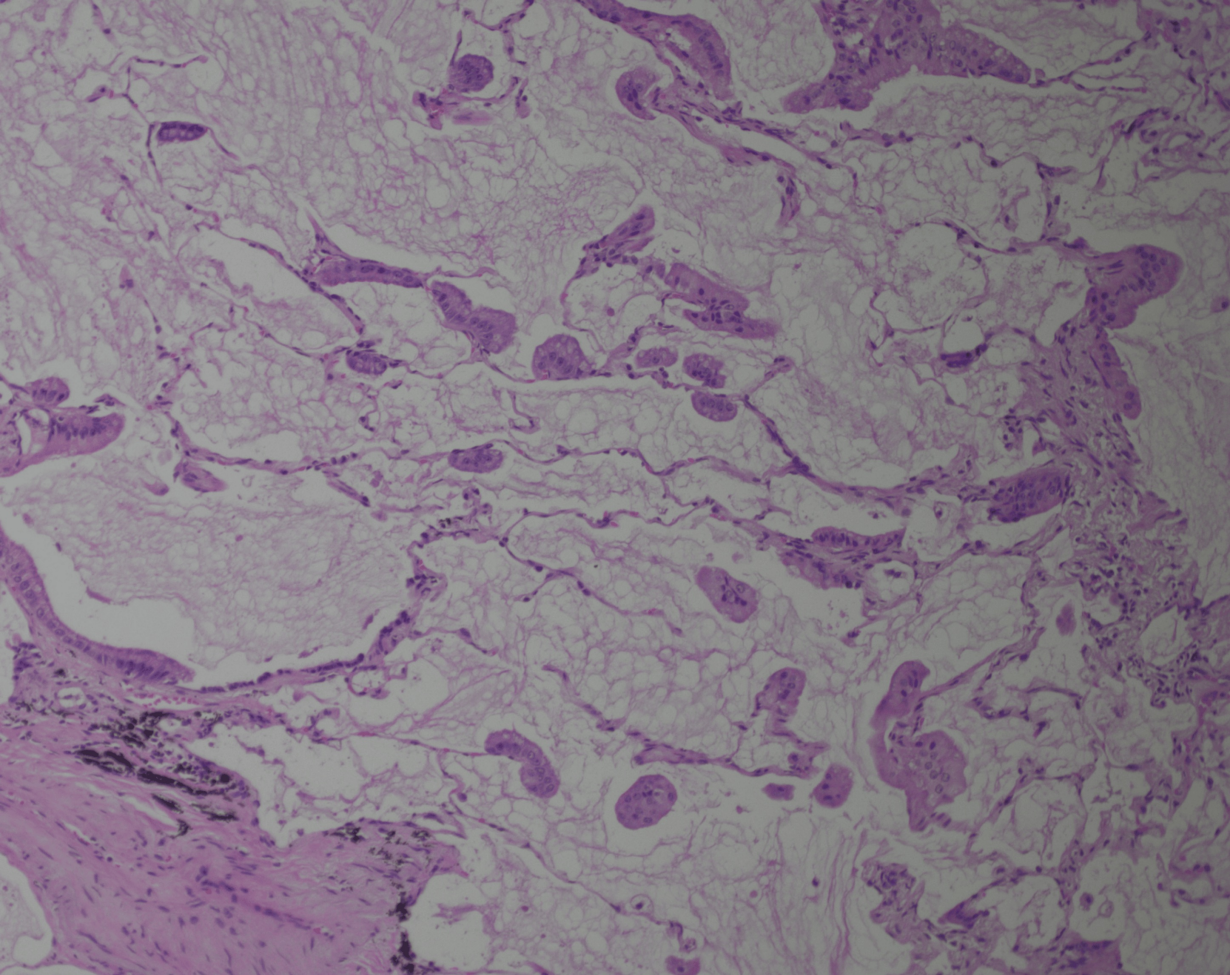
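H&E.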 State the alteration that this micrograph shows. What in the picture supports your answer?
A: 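Abundant pools of pale extracellular material dominate the field. Scattered epithelial clusters float within the pools. Thin septa run through the pools, only partly lined by epithelium.
Answer: Colloid adenocarcinoma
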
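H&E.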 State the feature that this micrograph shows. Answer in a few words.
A: Mucin pools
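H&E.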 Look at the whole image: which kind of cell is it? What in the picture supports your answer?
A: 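Clusters of mucinous glandular epithelium. Small rounded and elongated clusters of columnar epithelial cells with dark nuclei. The clusters are scattered within pale extracellular material.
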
